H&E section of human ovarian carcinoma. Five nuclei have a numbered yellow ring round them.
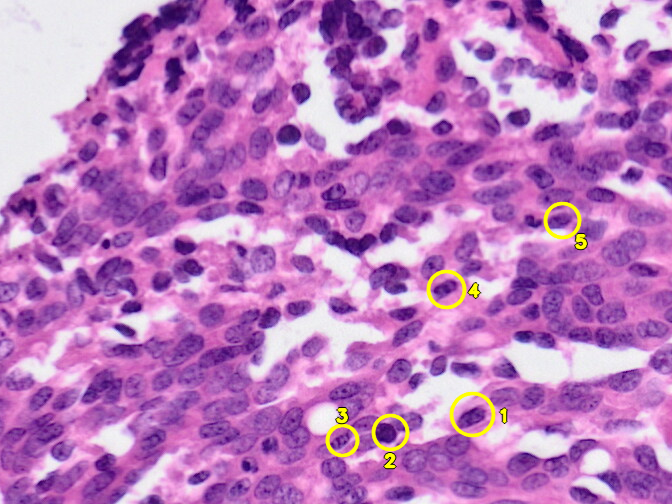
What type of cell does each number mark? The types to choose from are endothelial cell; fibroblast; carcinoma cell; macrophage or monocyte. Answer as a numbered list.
1. macrophage or monocyte
2. carcinoma cell
3. carcinoma cell
4. macrophage or monocyte
5. carcinoma cell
